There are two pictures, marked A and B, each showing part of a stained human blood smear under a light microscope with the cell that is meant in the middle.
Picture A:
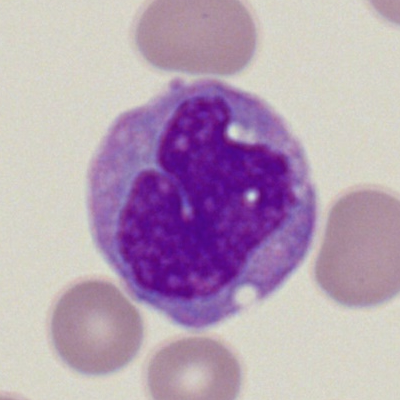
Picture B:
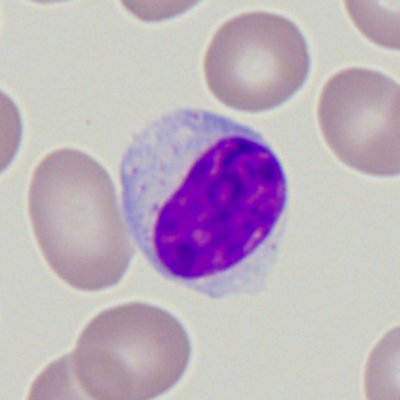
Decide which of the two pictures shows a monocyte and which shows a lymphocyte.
A: monocyte
B: lymphocyte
